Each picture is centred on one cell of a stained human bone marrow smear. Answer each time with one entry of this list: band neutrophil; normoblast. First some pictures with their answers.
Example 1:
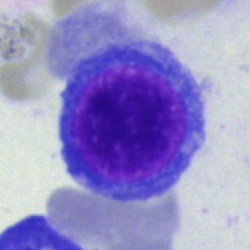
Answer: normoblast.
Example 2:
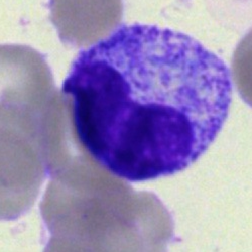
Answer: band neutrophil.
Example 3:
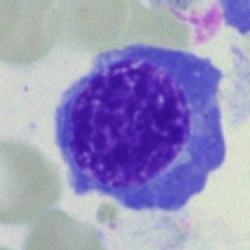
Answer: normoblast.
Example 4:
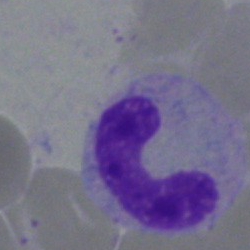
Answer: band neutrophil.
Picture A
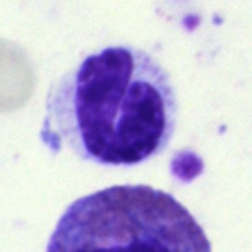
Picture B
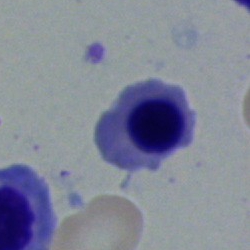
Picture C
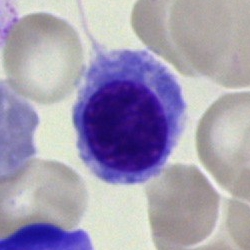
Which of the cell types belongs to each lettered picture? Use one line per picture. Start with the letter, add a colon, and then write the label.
A: band neutrophil.
B: normoblast.
C: normoblast.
